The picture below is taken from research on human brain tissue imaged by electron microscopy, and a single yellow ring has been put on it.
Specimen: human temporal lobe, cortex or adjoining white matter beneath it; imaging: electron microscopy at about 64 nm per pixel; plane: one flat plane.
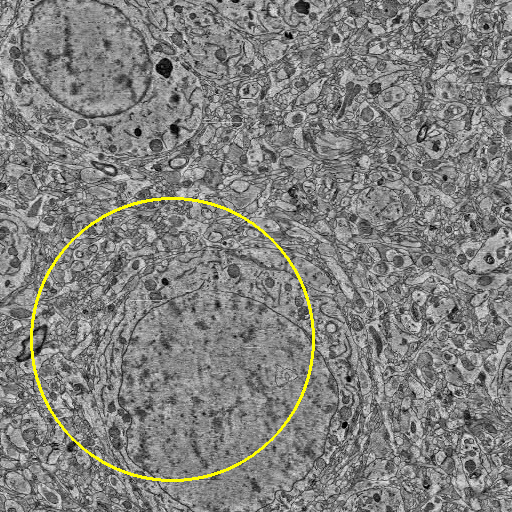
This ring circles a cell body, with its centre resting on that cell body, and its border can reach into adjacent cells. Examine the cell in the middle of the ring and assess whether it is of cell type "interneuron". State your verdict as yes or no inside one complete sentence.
No, in the picture, the cell lying at the centre of the ring is of a different type.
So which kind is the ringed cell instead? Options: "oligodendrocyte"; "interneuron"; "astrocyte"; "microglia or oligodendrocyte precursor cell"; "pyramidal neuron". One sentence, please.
In this picture, the ring is centred on a pyramidal neuron.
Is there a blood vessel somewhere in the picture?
No, the image shows no blood vessel.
